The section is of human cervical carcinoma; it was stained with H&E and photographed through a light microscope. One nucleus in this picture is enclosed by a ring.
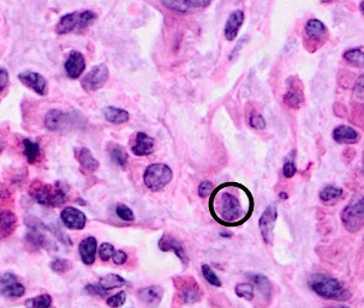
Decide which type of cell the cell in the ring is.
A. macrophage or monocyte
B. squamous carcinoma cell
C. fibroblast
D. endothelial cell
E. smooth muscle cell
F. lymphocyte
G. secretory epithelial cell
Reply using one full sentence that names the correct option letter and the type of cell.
The right pick is option A; the cell in the ring is a macrophage or monocyte.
